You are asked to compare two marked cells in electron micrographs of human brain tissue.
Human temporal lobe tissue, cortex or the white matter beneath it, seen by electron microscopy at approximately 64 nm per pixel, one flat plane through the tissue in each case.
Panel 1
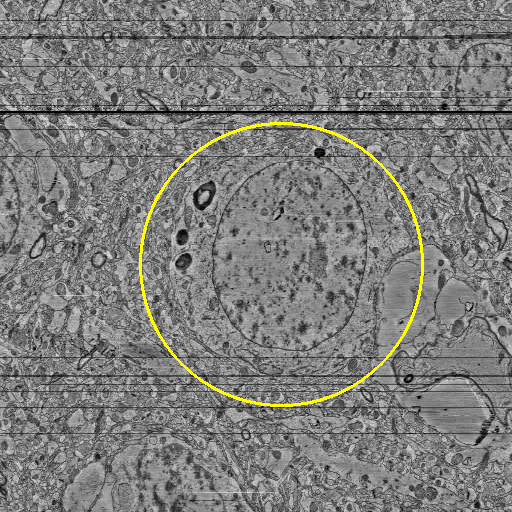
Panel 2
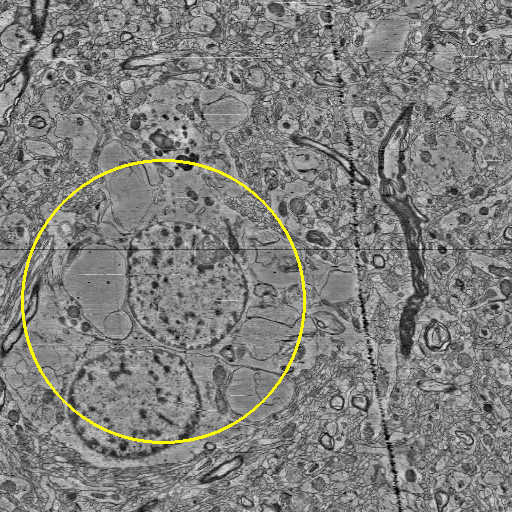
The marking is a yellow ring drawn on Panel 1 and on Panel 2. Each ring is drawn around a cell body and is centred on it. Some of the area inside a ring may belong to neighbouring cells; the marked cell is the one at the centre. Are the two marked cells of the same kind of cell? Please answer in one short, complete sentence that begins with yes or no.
No, the two marked cells are of two kinds.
